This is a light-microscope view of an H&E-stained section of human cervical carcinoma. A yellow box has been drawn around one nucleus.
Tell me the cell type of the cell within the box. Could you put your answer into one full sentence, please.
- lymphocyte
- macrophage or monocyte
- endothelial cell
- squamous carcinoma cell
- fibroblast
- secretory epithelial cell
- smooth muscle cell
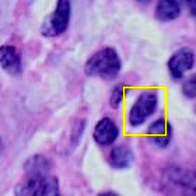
As for its identity, the cell within the box is a lymphocyte.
